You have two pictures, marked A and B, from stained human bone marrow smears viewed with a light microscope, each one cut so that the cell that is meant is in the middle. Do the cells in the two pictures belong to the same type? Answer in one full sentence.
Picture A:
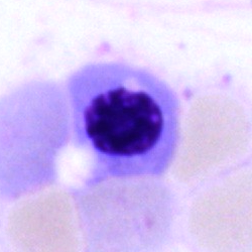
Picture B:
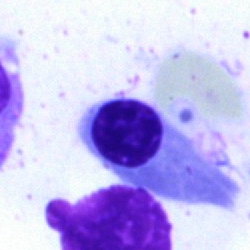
Yes; the cells in both pictures are erythroblasts.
